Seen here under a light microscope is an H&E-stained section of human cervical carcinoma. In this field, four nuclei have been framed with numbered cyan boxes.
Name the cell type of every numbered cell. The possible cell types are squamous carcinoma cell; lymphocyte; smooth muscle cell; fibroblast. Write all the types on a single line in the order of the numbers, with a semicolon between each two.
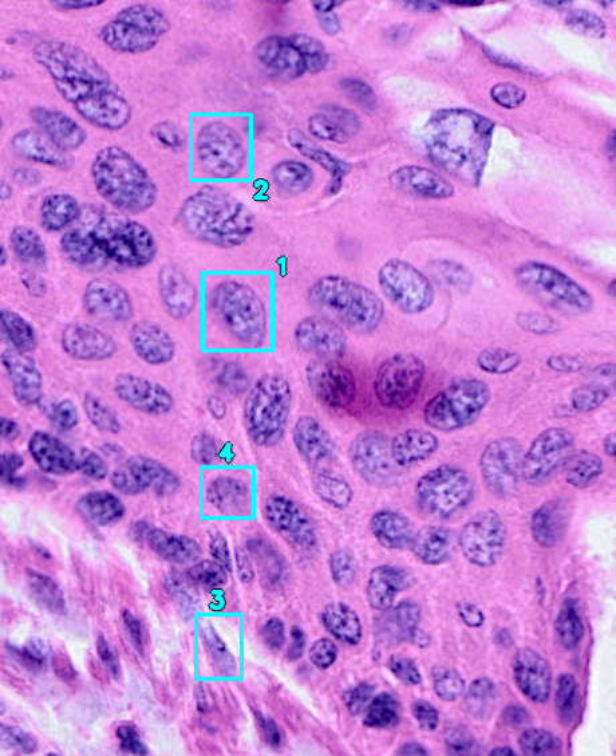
squamous carcinoma cell; squamous carcinoma cell; fibroblast; squamous carcinoma cell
